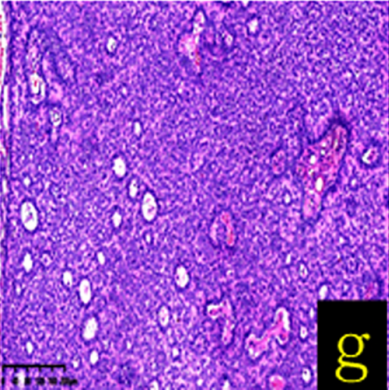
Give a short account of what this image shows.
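This is a densely cellular tumor made of uniform small cells, whose purple nuclei crowd together with very little pink cytoplasm between them. The cells grow in solid sheets, and among them lie scattered small tubular and round profiles. Many of these are small, clear or pale, round spaces rimmed by the tumor cells, and some contain pink material.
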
